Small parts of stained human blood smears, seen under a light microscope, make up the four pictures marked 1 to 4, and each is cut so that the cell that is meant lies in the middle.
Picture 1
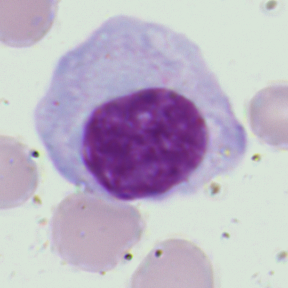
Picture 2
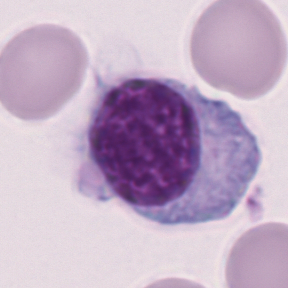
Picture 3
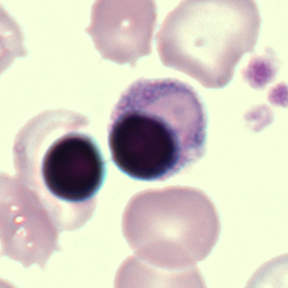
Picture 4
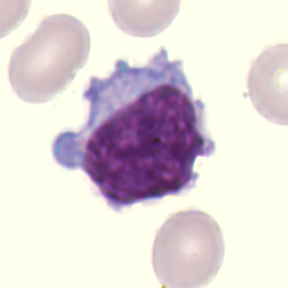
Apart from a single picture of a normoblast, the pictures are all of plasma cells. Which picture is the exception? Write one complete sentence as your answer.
The picture with the normoblast is 3.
